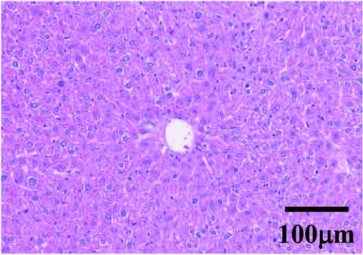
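This is liver, with a central vein in the middle of the field and hepatocytes around it. The vein is a round, empty white lumen, and the hepatocytes are arranged in plates or cords that run outward from it. Each hepatocyte is a large polygonal cell with evenly pink cytoplasm and a round, centrally placed purple nucleus. Narrow pale gaps between the cords are the sinusoids, and the tissue looks orderly throughout.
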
